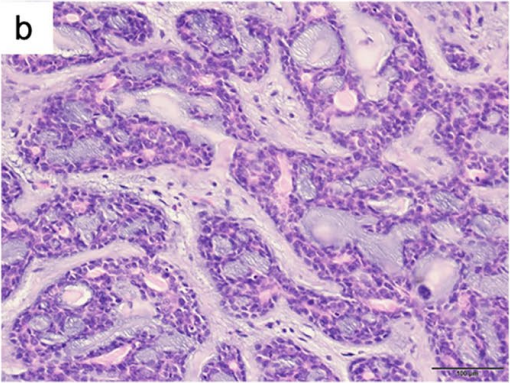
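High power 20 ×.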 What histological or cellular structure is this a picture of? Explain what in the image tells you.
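Tumour nests perforated by several rounded sieve-like spaces. Spaces hold pale bluish-grey or pink material. Nests are separated by pale hyalinised stroma. That points to this answer: cribriform structures.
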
